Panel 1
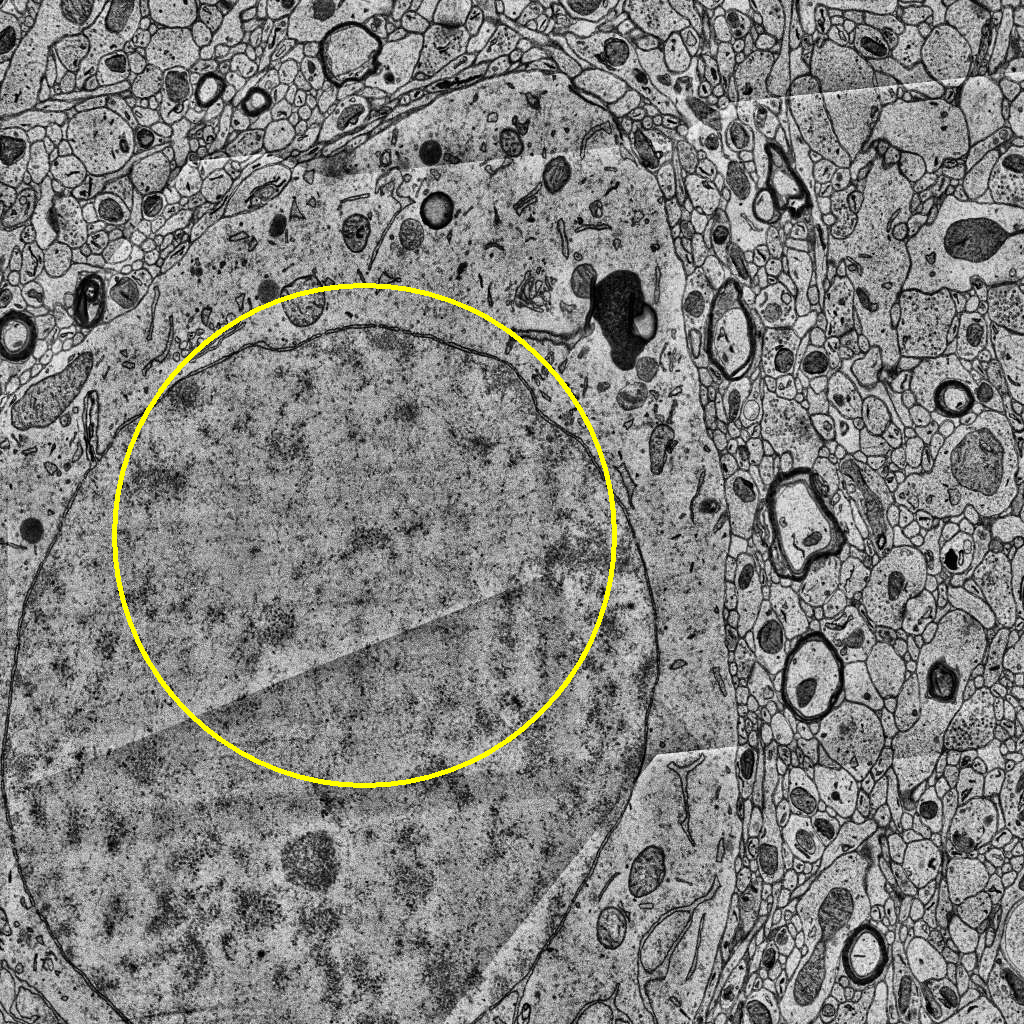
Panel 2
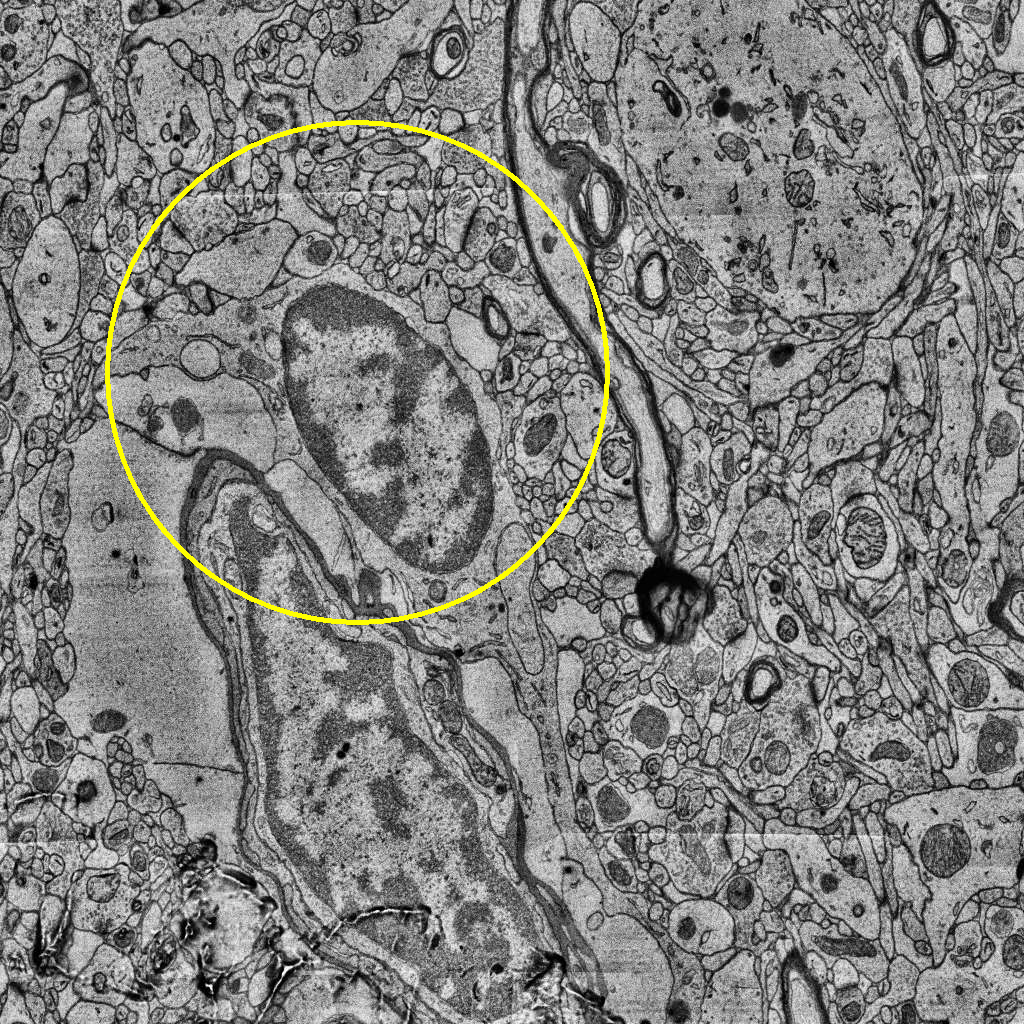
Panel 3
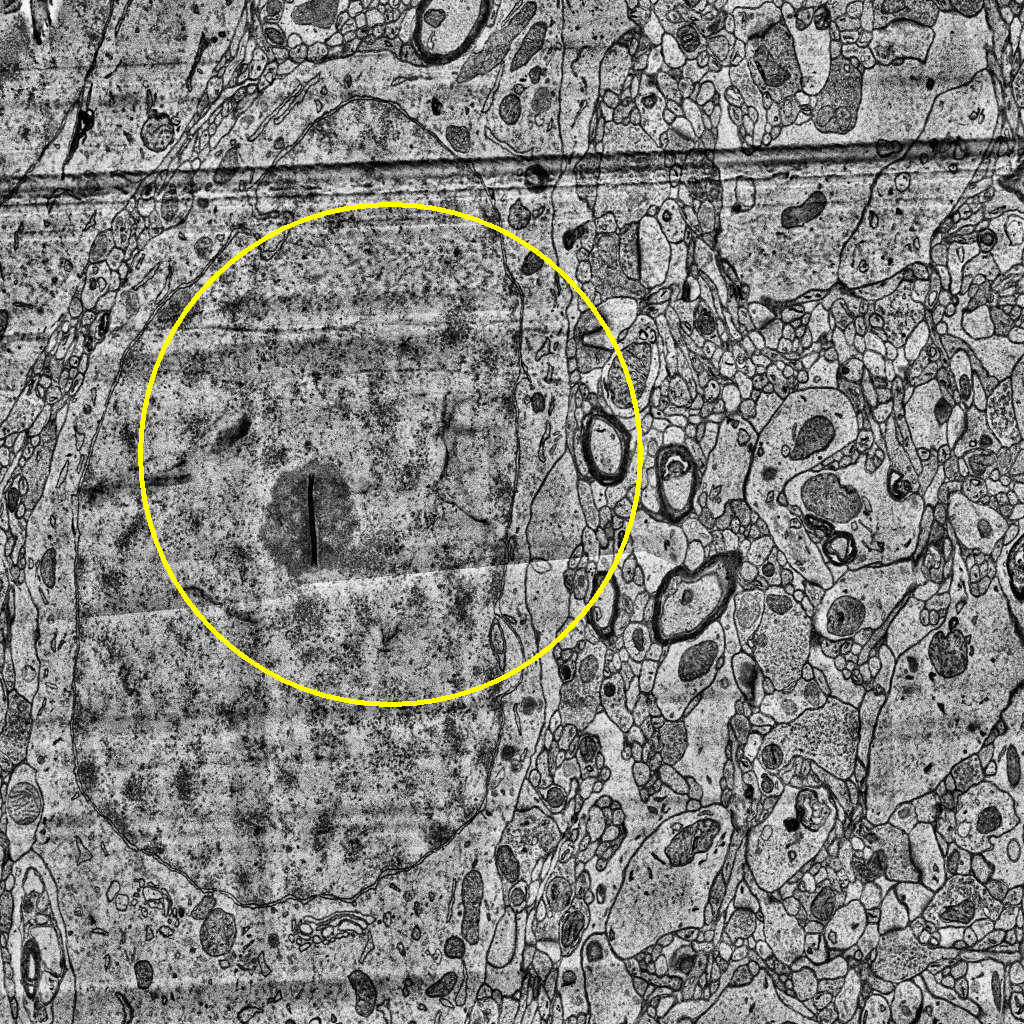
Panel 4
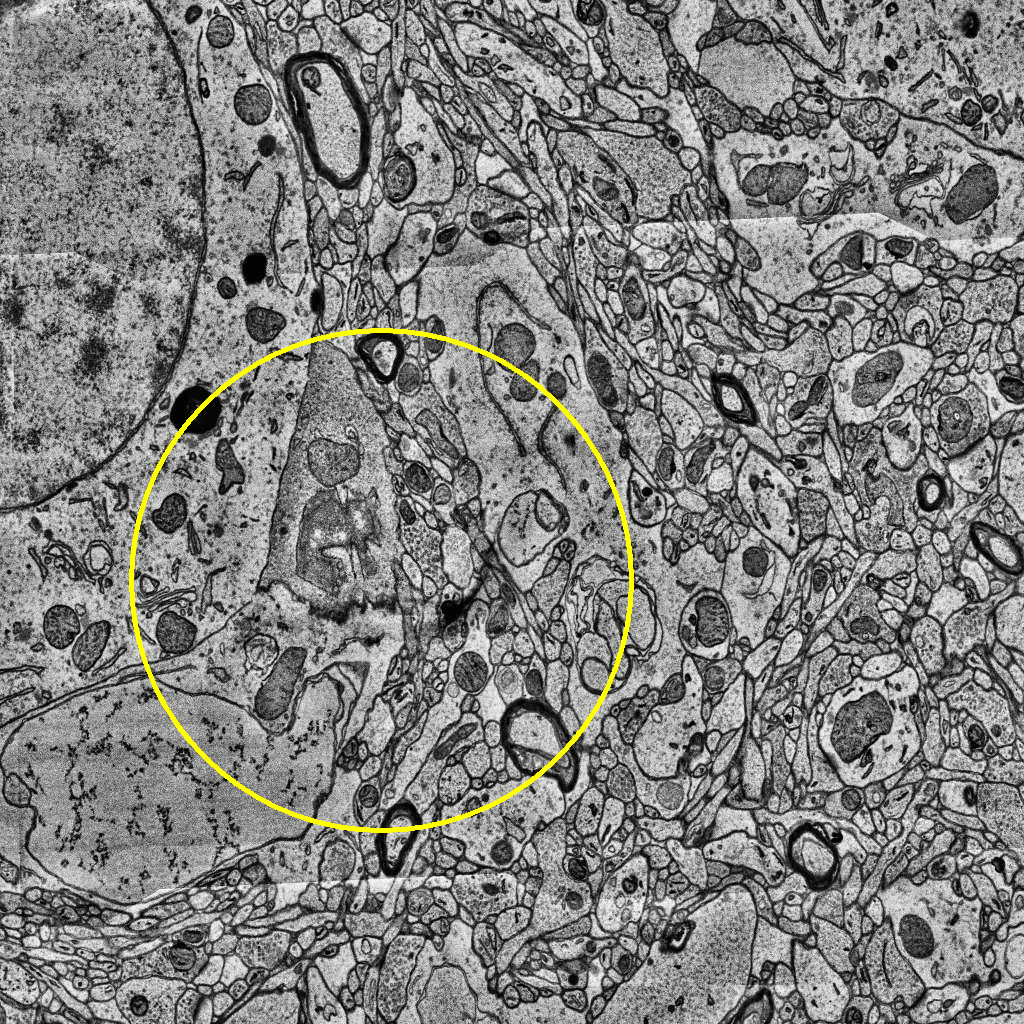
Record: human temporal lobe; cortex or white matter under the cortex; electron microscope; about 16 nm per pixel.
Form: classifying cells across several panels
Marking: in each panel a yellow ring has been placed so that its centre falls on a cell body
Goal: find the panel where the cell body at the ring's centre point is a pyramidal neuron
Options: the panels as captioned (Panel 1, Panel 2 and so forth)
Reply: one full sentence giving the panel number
Panel 1 shows the wanted cell, with the centre of its ring lying inside it.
